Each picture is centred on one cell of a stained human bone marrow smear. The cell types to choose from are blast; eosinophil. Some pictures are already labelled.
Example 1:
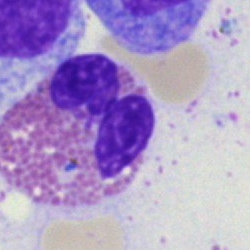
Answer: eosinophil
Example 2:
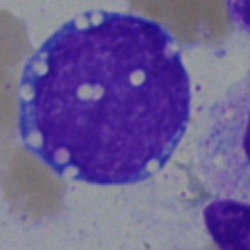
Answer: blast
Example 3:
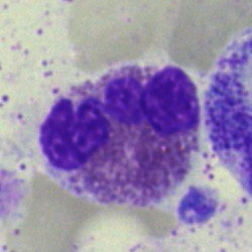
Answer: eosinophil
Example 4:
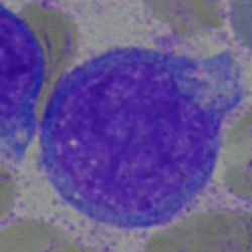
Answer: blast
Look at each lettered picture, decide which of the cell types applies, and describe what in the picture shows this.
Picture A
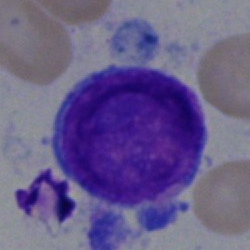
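Answer: blast. The cytoplasm forms only a thin rim around the nucleus.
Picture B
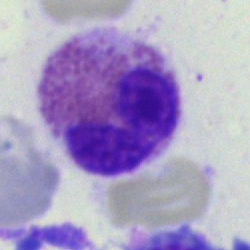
Answer: eosinophil. The cytoplasm is packed with coarse pink-purple granules.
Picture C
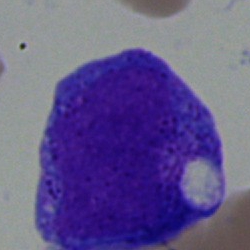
Answer: blast. The chromatin looks finely stippled rather than clumped into coarse blocks.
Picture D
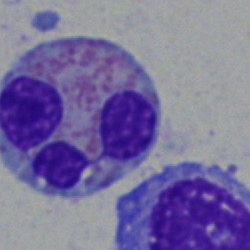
Answer: eosinophil. The cytoplasm is plentiful and pale grey-blue.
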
